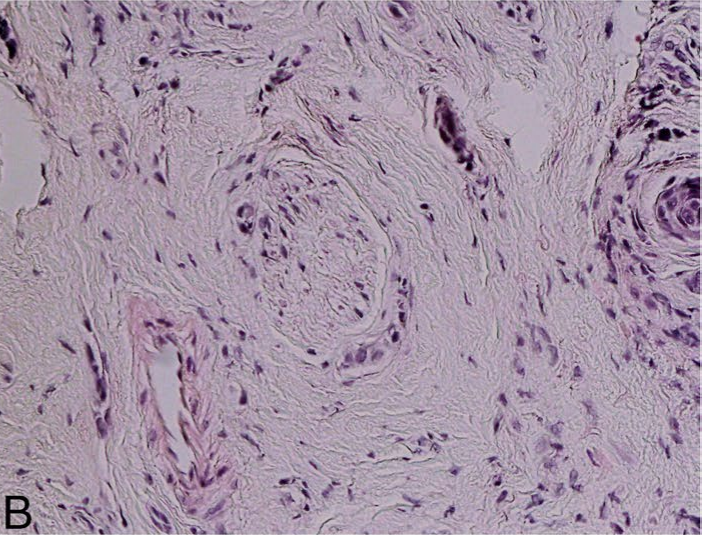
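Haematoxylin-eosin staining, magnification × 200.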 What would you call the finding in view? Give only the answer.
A: perineural spread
